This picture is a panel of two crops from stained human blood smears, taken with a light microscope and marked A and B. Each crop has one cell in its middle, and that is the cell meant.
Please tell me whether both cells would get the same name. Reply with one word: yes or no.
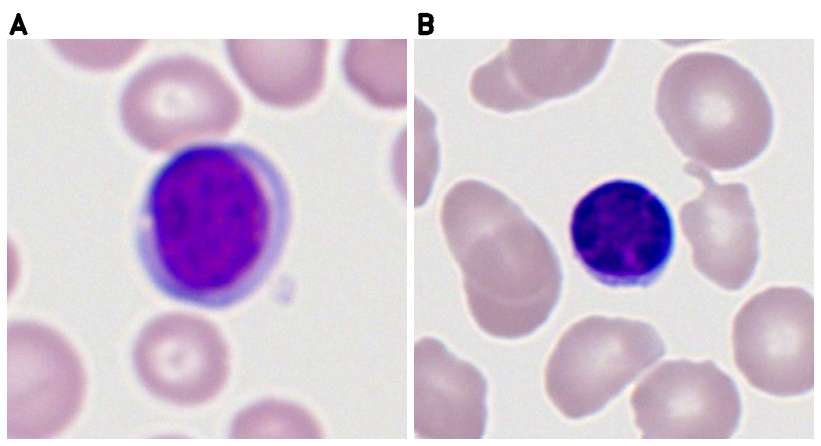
yes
